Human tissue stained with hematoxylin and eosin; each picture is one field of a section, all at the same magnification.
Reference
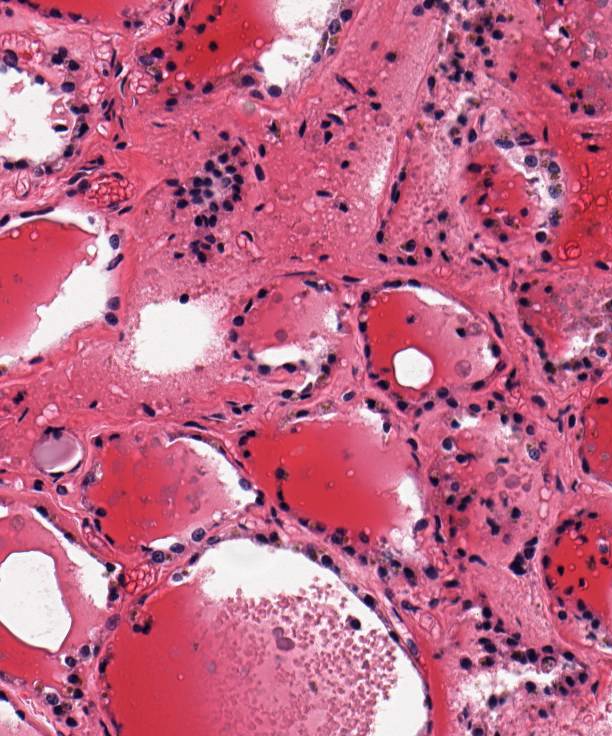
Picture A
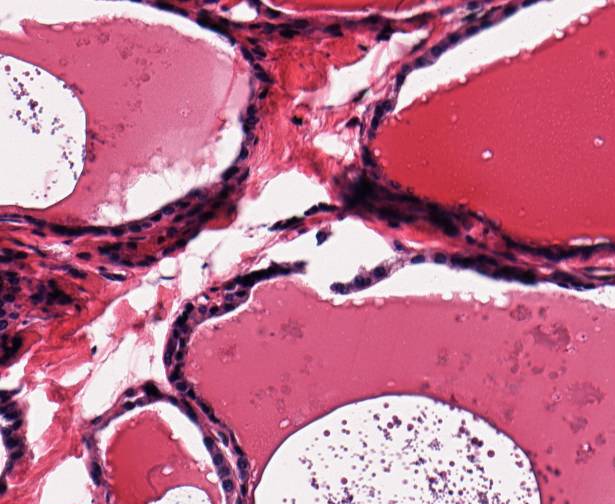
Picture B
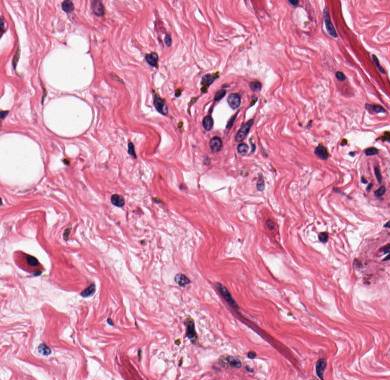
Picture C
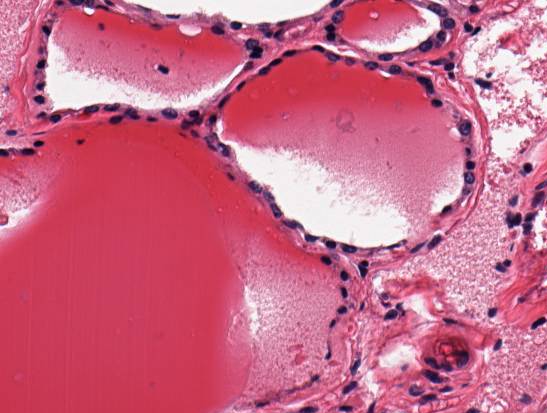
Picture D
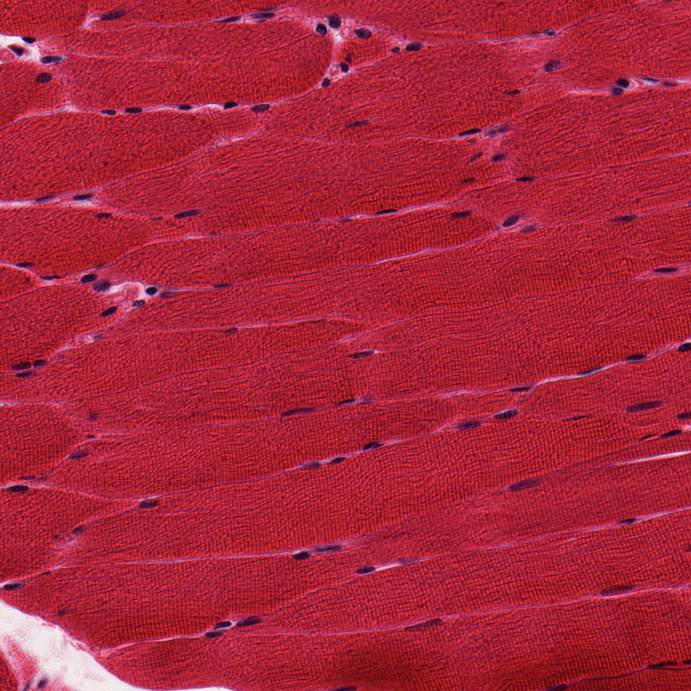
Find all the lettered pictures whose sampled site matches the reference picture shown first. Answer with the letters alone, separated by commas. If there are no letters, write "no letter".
A, C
